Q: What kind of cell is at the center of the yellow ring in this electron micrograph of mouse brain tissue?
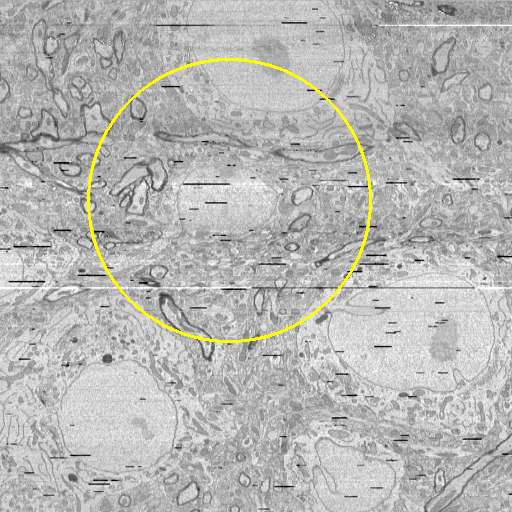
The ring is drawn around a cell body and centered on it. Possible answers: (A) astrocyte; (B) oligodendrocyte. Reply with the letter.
A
